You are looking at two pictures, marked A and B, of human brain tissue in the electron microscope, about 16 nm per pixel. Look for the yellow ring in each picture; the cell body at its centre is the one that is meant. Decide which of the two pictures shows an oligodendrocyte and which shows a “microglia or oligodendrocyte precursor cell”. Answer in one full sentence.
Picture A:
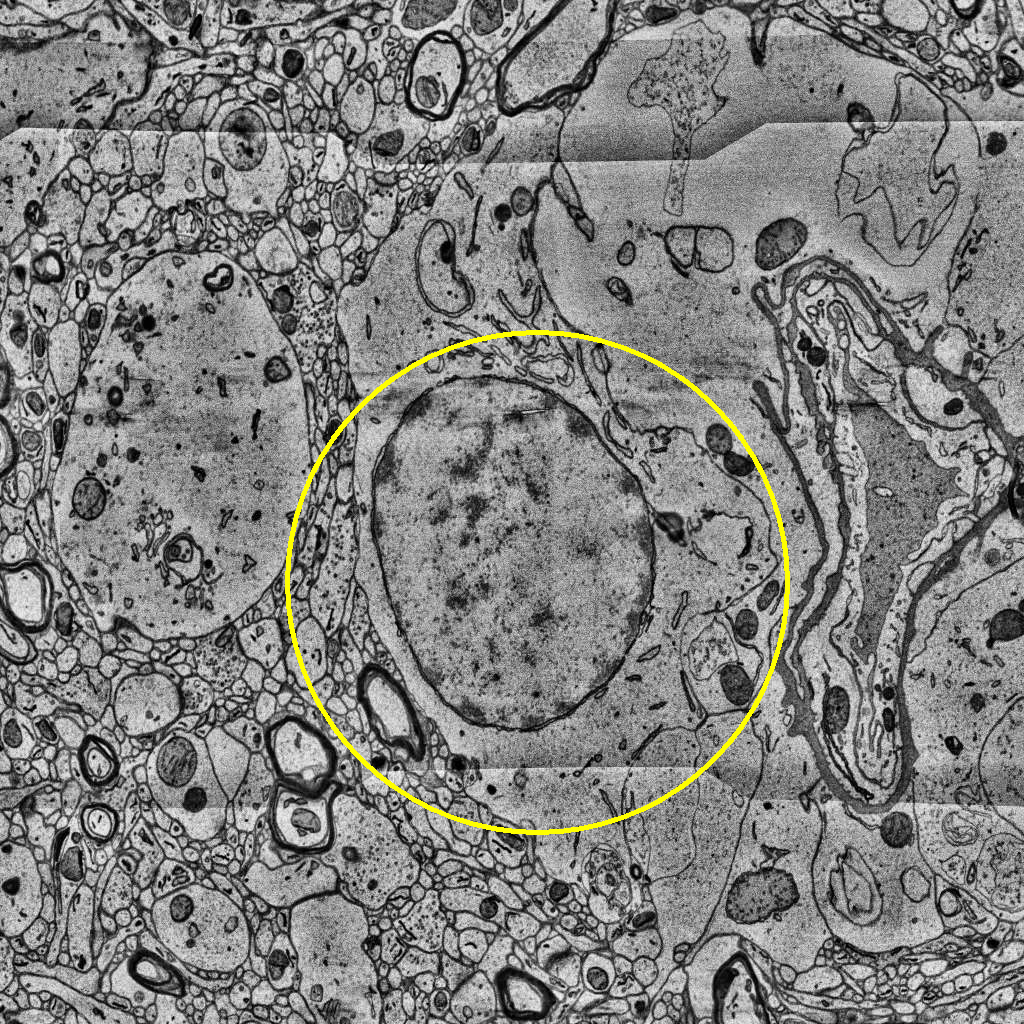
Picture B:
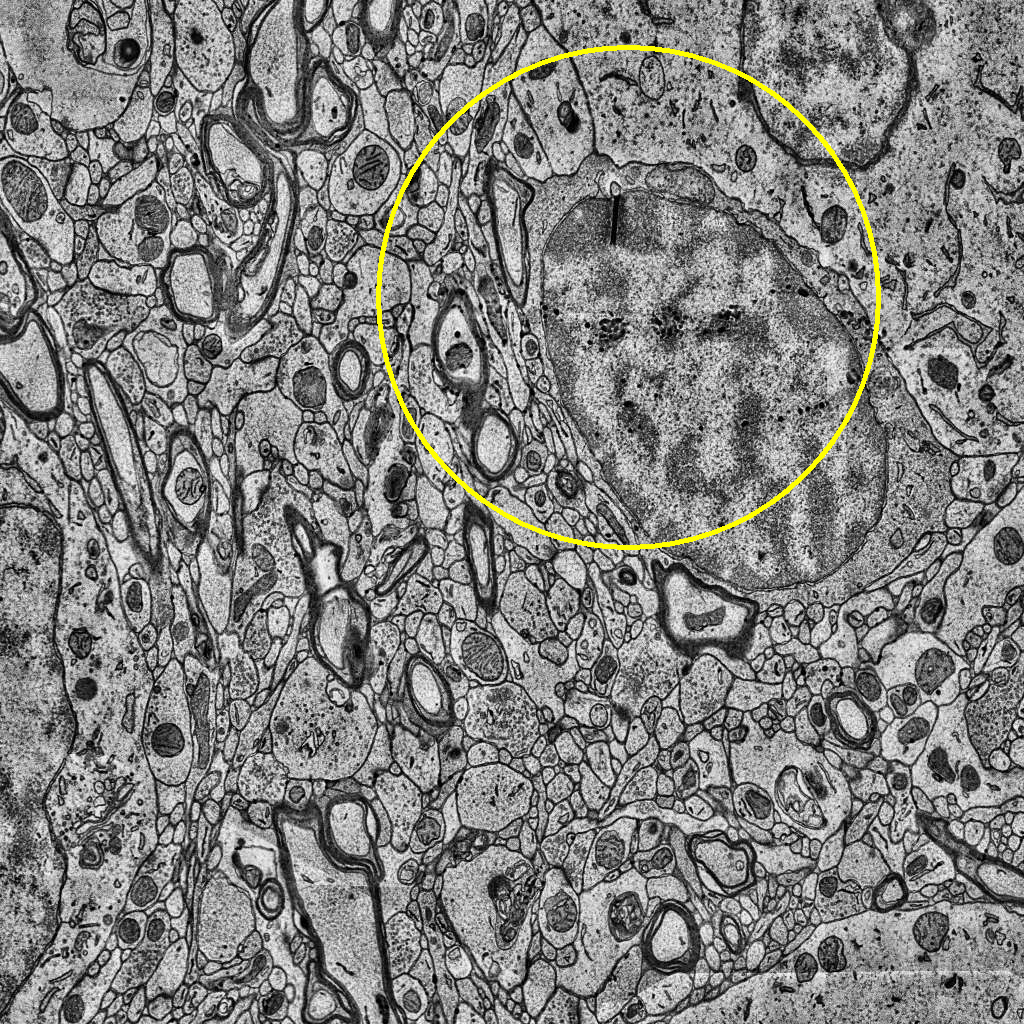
Picture A shows a “microglia or oligodendrocyte precursor cell” and picture B shows an oligodendrocyte.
